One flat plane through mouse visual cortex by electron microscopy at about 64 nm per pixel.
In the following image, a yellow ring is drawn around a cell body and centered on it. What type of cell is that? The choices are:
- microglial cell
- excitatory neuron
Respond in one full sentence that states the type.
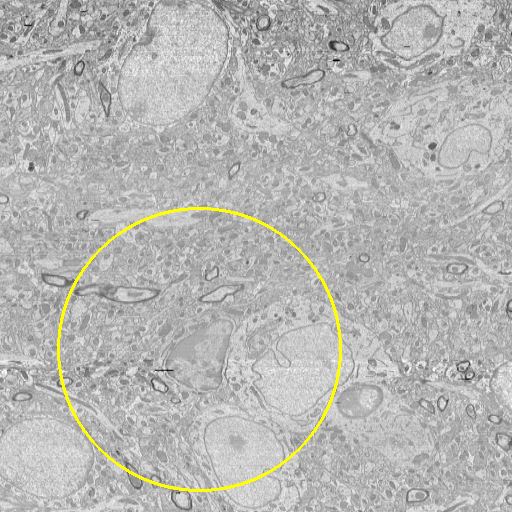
The cell at the center of the yellow ring in the image is a microglial cell.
